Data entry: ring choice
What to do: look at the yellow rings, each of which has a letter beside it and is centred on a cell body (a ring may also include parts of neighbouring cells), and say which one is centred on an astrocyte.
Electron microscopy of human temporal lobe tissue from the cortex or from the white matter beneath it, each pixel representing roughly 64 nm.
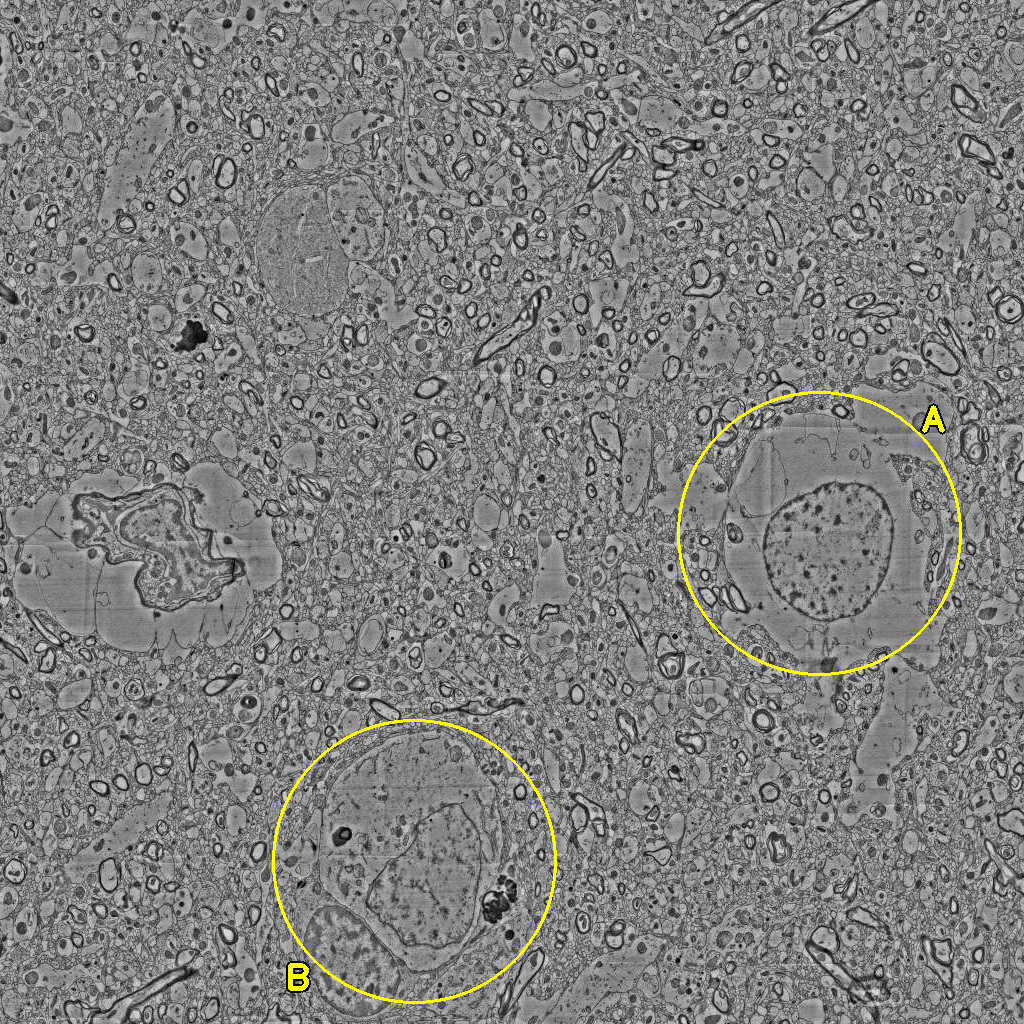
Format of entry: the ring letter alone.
A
